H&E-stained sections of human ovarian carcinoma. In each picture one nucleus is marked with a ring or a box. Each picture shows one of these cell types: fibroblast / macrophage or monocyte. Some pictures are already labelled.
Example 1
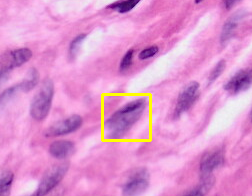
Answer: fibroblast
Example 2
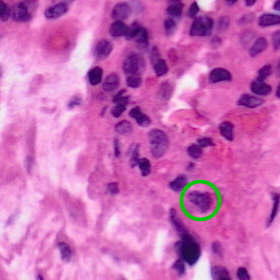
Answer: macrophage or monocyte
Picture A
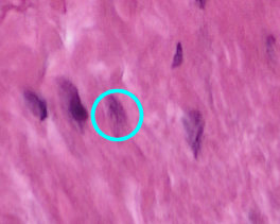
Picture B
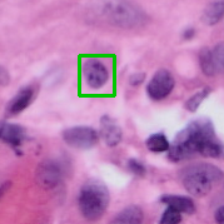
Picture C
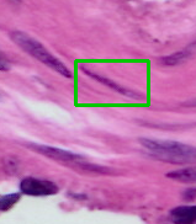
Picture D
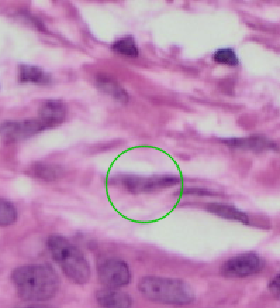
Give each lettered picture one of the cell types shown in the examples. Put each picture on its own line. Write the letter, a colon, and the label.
A: fibroblast
B: macrophage or monocyte
C: fibroblast
D: fibroblast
